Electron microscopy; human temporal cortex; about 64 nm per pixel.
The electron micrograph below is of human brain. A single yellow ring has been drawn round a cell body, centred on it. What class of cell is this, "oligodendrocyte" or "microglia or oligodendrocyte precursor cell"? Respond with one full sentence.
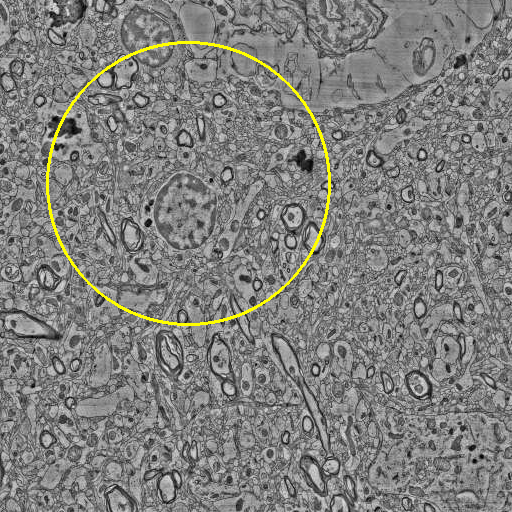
In the micrograph, the cell centred inside the yellow ring is a microglial cell or oligodendrocyte precursor cell.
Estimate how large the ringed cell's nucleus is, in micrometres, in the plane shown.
Roughly 4 micrometres across for the nucleus, in this plane.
